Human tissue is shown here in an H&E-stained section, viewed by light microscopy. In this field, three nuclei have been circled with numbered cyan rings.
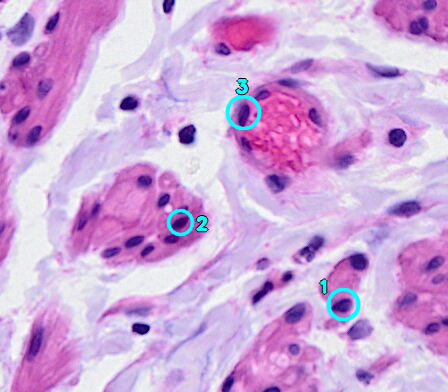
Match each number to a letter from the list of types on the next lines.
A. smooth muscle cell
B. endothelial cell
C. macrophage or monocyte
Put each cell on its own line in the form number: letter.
1: A
2: A
3: B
